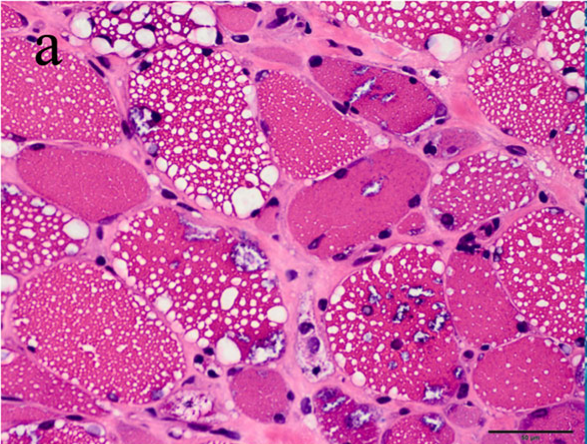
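This is skeletal muscle in cross section, with polygonal pink myofibers separated by thin connective tissue and small dark nuclei at their edges. Many fibers are riddled with round clear vacuoles of very different sizes, from fine dots to large spaces, while others stain evenly pink. Some fibers contain irregular spaces lined by purplish granular material, unlike the clean round holes. Fiber size varies considerably across the field.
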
